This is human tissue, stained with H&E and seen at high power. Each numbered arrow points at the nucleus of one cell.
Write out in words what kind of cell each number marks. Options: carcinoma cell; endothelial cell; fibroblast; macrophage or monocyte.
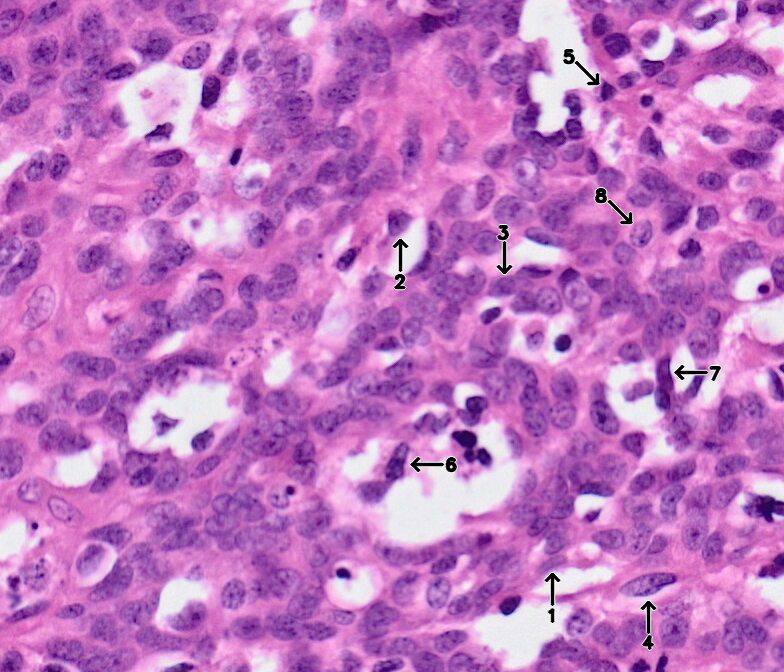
Cells 1, 3 and 7 are carcinoma cells. Cells 2, 5, 6 and 8 are macrophages or monocytes. Cell 4 is an endothelial cell.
